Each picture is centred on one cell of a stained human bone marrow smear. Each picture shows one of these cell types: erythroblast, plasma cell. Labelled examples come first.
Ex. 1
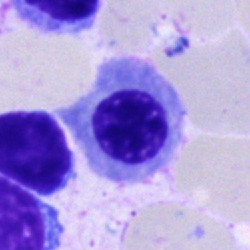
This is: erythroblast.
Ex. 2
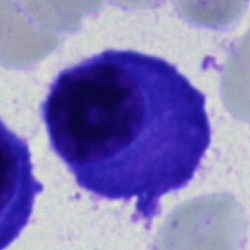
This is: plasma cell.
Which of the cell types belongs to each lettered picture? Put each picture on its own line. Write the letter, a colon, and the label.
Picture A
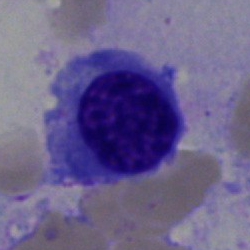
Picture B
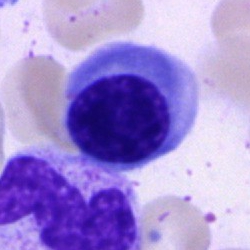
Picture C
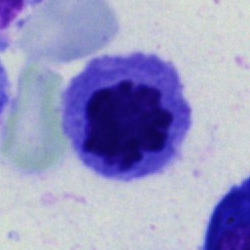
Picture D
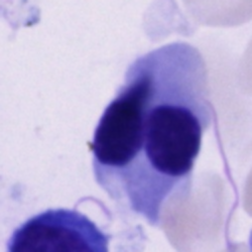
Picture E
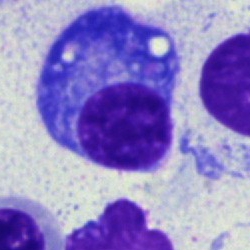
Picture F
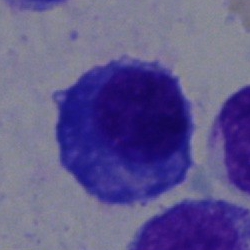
A: erythroblast.
B: erythroblast.
C: erythroblast.
D: erythroblast.
E: plasma cell.
F: plasma cell.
